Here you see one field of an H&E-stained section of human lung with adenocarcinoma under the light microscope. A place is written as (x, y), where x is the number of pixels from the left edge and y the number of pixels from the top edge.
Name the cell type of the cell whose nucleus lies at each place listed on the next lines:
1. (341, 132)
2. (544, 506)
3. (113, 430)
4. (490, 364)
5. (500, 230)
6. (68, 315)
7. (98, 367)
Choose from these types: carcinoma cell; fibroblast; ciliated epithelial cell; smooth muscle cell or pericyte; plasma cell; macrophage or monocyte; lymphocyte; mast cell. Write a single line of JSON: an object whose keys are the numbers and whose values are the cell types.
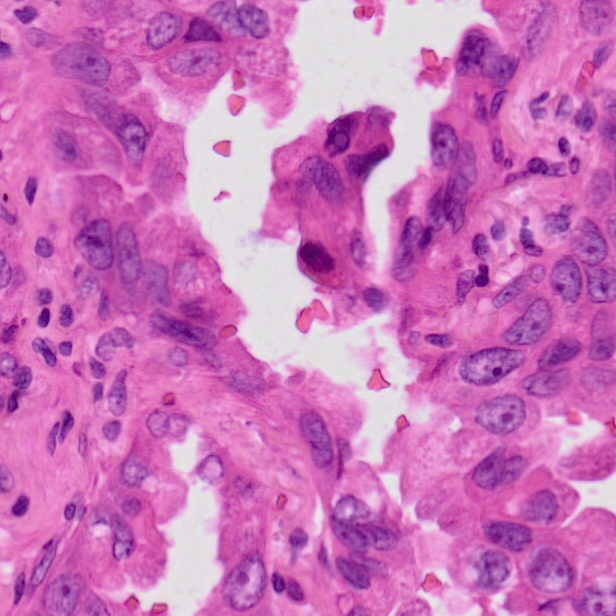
{"1": "carcinoma cell", "2": "carcinoma cell", "3": "lymphocyte", "4": "carcinoma cell", "5": "lymphocyte", "6": "lymphocyte", "7": "lymphocyte"}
